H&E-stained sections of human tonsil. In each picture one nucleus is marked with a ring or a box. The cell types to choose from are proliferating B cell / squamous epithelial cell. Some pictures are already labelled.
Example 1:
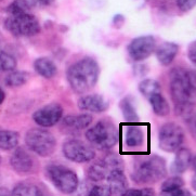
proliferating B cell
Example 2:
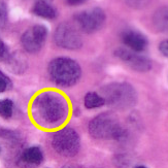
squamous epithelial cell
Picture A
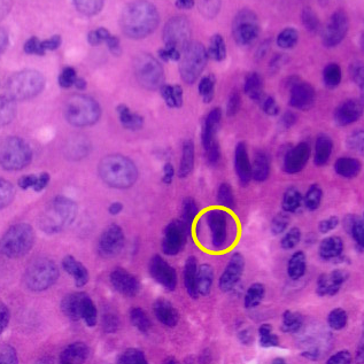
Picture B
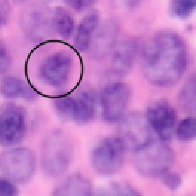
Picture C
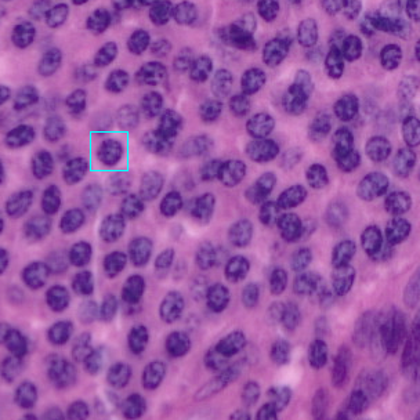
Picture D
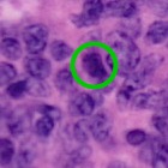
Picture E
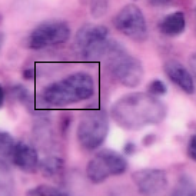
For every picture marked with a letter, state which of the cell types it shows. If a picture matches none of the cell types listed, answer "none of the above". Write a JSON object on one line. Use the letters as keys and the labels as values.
{"A": "squamous epithelial cell", "B": "proliferating B cell", "C": "none of the above", "D": "proliferating B cell", "E": "proliferating B cell"}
